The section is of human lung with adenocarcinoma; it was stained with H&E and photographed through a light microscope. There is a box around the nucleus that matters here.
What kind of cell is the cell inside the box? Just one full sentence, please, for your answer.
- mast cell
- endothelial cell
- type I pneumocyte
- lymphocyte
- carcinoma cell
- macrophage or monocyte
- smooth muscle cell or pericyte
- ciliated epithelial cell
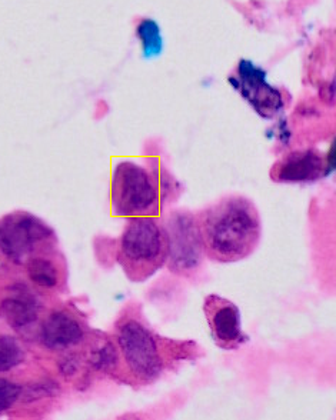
Placed in its cell category, the cell inside the box is a carcinoma cell.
